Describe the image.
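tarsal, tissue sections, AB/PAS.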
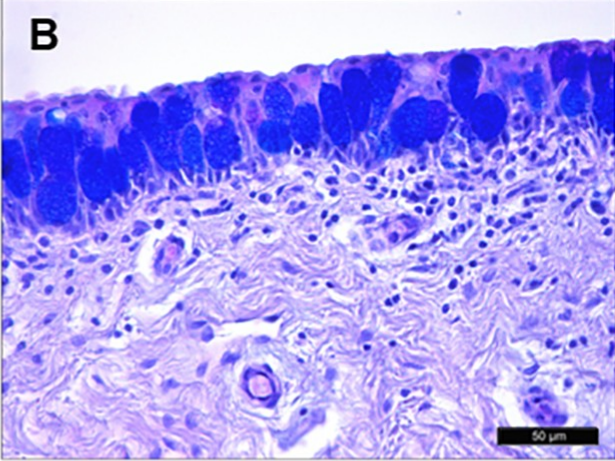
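This is conjunctival epithelium crowded with goblet cells, seen as large rounded or oval cells filled with dark blue material that form a nearly continuous row along the surface. Between and above them lie thin epithelial cells with small nuclei. Beneath lies loose connective tissue with many scattered small nuclei and small blood vessels.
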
